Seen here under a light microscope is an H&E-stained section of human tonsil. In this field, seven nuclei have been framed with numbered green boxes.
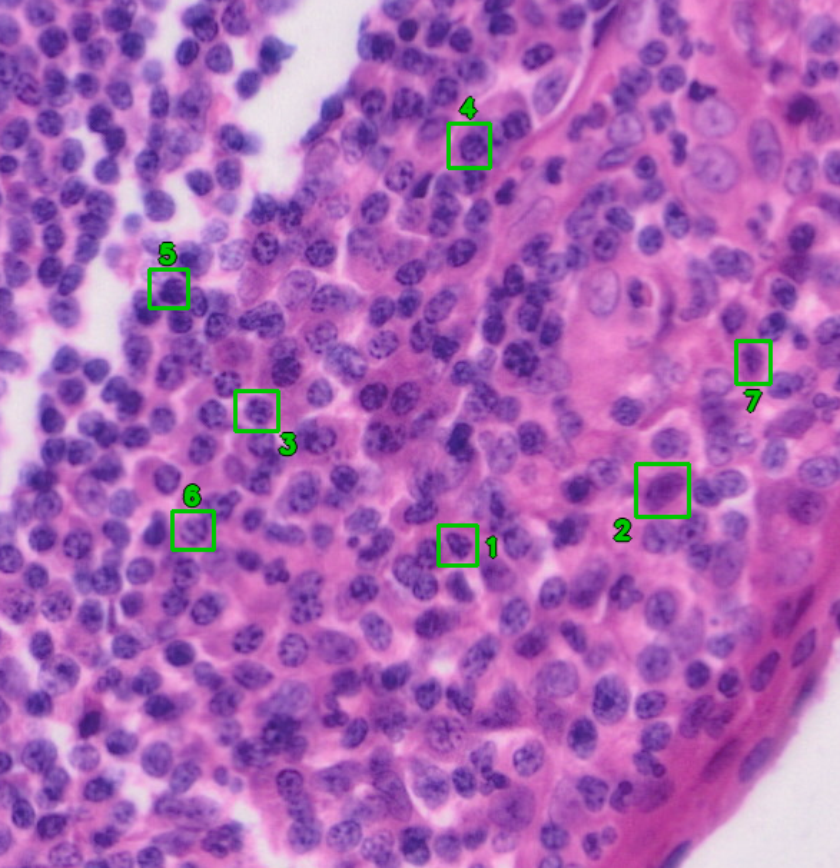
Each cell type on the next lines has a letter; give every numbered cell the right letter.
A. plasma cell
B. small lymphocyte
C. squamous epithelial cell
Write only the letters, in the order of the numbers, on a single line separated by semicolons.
A; C; A; A; B; A; C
